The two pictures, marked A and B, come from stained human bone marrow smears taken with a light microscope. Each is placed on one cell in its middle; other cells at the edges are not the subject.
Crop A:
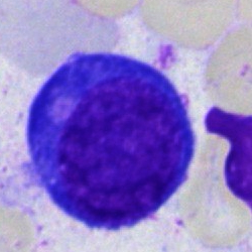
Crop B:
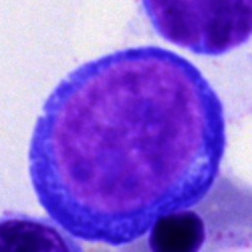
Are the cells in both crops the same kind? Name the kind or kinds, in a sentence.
Yes, the cells in the centres of the two crops are proerythroblasts.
